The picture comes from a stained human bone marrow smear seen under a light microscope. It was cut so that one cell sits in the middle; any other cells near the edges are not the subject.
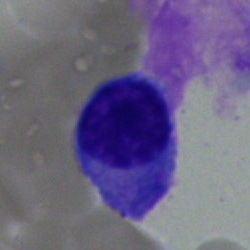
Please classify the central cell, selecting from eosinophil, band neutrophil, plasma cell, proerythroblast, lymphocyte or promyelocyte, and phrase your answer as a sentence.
The cell the crop is centered on is a plasma cell.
